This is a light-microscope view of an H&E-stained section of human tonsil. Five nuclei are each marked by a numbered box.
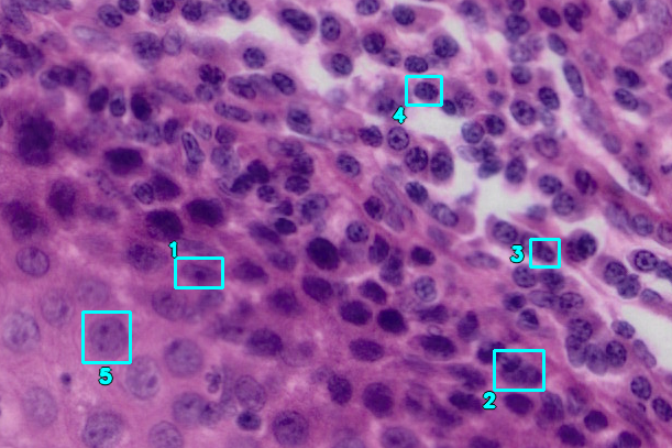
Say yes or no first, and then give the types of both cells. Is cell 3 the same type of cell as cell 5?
No, a squamous epithelial cell is what cell 5 is, while cell 3 is a plasma cell.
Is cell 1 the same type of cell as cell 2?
Yes, in this tissue section, cells 1 and 2 are both squamous epithelial cells.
